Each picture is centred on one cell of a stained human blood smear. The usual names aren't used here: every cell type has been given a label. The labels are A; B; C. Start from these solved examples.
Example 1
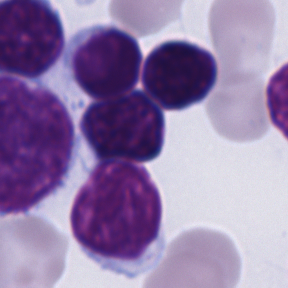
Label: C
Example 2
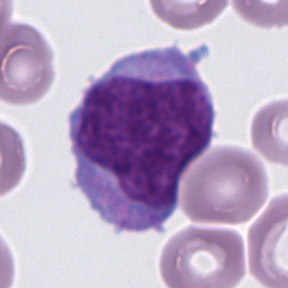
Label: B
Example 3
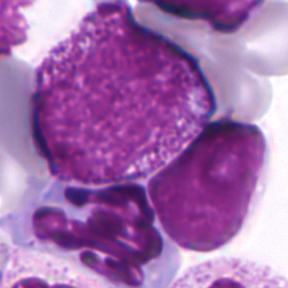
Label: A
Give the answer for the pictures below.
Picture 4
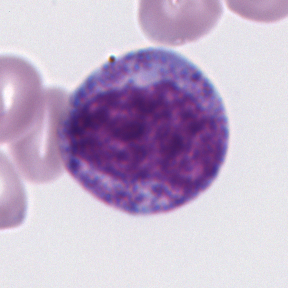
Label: A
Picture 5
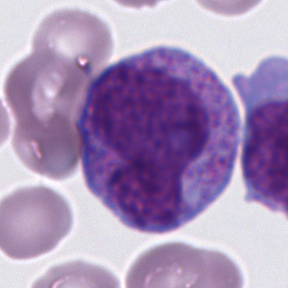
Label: B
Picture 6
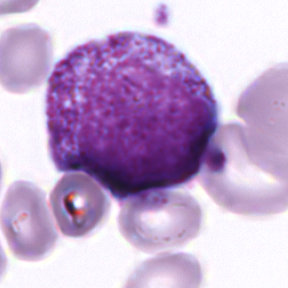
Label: A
